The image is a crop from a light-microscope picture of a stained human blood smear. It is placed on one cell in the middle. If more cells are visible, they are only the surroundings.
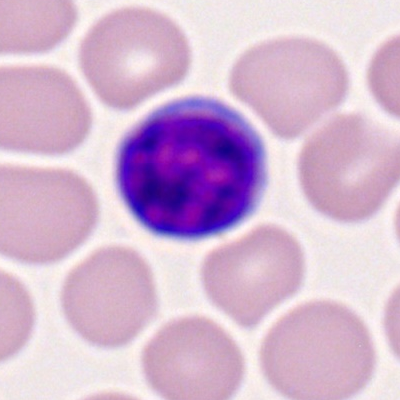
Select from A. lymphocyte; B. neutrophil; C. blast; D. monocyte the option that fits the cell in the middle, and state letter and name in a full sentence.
The best answer is option A, since the cell in the middle is a lymphocyte.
